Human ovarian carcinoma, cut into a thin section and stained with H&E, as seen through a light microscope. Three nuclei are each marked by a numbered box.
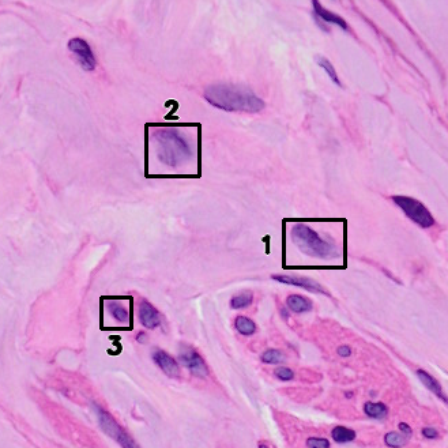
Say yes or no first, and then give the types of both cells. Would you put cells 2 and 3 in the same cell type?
No; cell 2 is a fibroblast, and cell 3 is a smooth muscle cell.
